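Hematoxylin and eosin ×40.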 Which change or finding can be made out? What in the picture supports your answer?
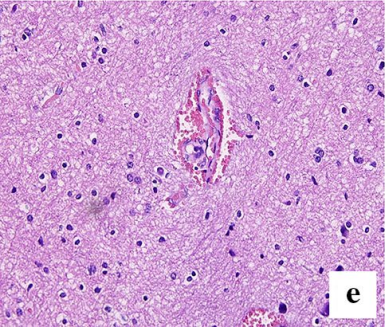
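A small vessel in the center has an irregular, disrupted outline. Red blood cells lie within and around the vessel.
Answer: microvessel ruptured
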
